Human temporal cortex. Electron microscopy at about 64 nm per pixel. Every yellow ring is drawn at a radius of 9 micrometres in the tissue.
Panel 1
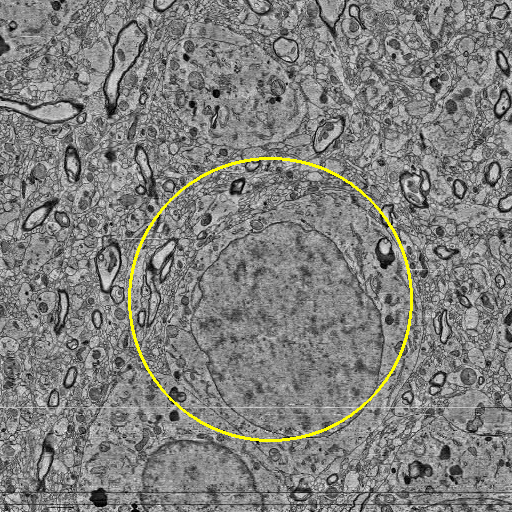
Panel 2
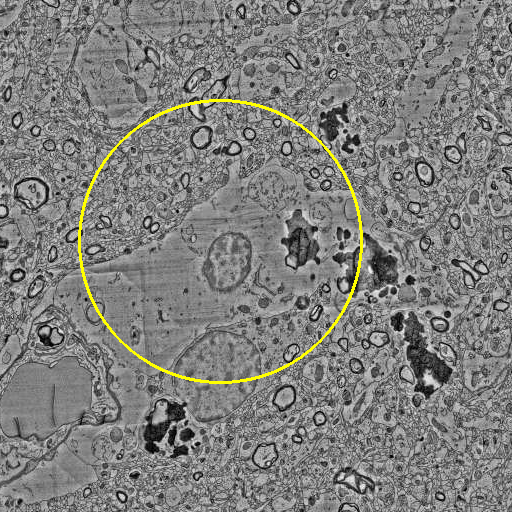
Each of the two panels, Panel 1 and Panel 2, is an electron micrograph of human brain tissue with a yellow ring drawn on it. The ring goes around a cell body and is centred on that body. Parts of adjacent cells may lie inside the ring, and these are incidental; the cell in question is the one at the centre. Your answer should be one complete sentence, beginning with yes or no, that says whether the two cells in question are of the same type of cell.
No, the two cells are of two types.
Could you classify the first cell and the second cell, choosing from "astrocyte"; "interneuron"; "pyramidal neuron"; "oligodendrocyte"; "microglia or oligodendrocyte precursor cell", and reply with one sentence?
The second cell is an astrocyte, while the first is a pyramidal neuron.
